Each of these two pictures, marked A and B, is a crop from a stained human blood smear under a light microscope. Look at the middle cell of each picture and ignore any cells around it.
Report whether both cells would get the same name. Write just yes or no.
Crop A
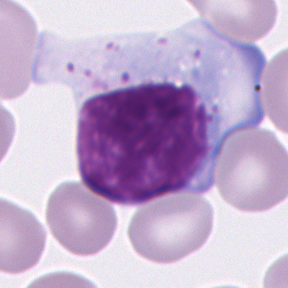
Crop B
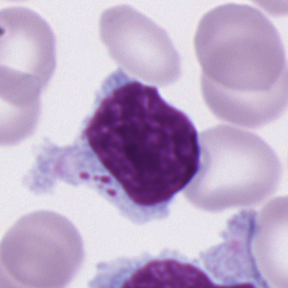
yes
